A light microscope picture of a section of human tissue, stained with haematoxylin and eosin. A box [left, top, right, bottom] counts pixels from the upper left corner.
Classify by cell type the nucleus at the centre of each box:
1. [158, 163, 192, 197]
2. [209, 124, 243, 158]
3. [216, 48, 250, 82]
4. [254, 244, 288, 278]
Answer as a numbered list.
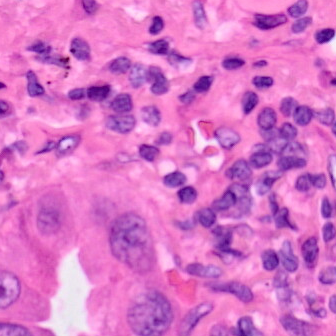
1. lymphocyte
2. endothelial cell
3. lymphocyte
4. lymphocyte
